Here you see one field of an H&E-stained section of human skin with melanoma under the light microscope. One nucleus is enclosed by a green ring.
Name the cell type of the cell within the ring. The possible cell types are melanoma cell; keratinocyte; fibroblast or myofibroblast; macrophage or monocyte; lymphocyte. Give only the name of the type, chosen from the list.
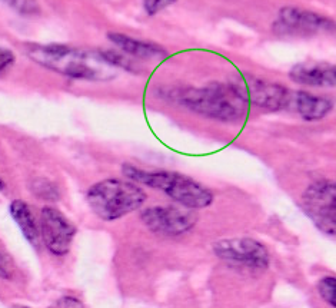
melanoma cell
